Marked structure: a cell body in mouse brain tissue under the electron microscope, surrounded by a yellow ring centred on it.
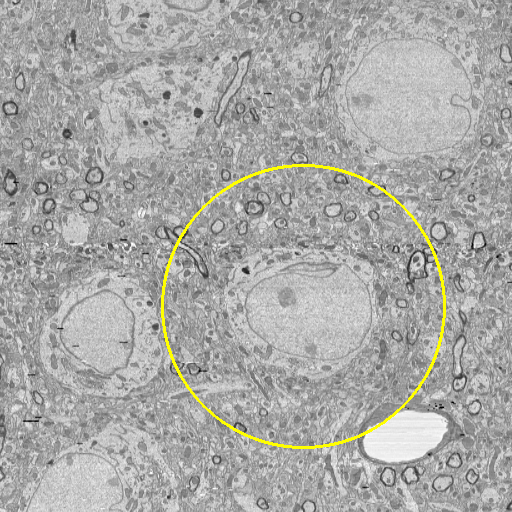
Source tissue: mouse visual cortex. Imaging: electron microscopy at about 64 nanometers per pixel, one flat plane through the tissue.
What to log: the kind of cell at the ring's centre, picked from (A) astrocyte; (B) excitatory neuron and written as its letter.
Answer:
B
